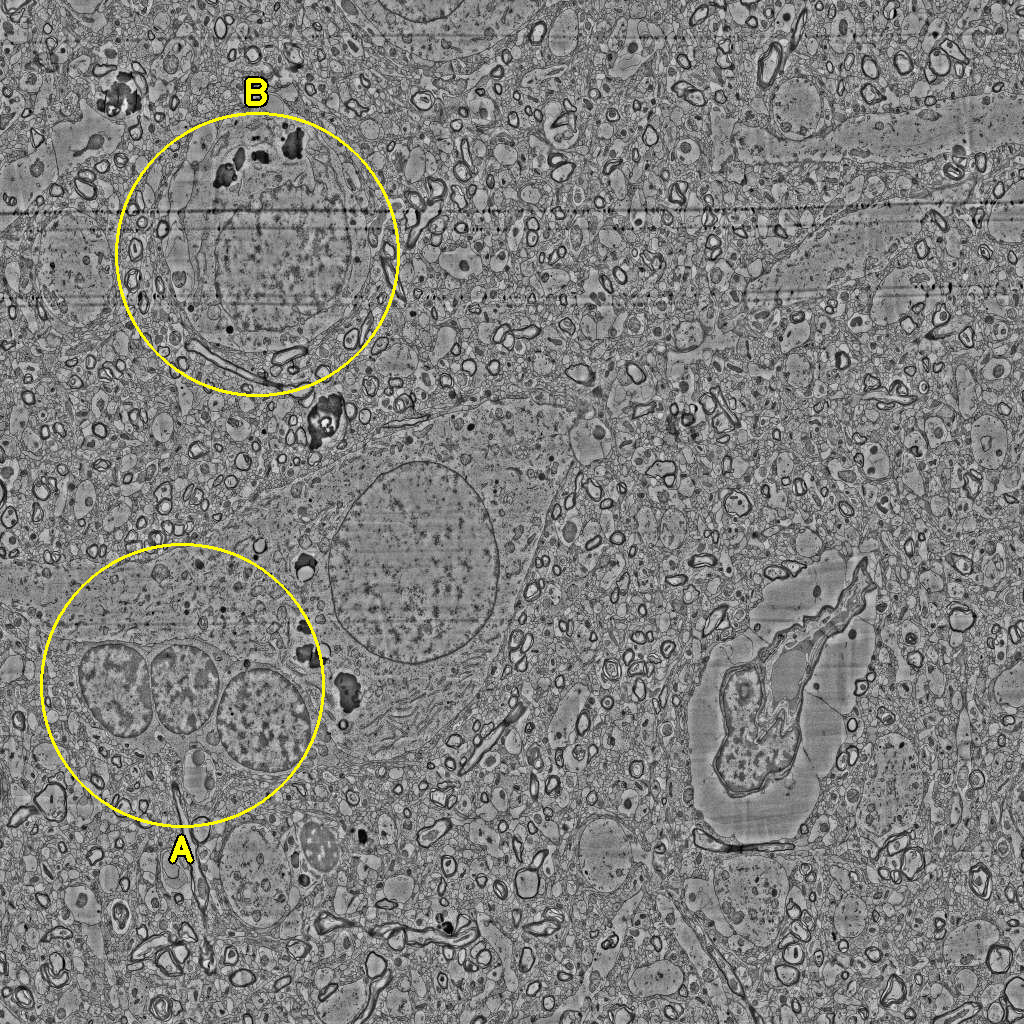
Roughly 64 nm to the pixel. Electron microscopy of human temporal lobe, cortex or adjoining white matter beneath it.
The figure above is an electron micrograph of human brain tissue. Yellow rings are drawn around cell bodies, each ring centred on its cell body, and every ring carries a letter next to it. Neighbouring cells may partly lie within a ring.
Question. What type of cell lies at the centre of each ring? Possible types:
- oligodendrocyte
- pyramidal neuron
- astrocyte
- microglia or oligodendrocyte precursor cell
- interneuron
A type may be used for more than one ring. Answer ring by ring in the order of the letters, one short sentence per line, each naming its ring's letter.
In ring A, the central cell is an oligodendrocyte.
In ring B, the central cell is an interneuron.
